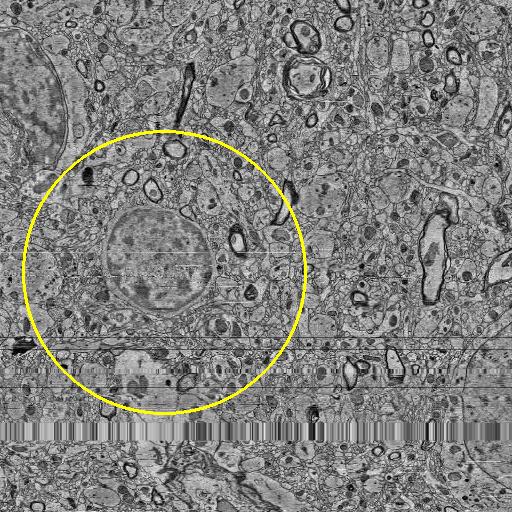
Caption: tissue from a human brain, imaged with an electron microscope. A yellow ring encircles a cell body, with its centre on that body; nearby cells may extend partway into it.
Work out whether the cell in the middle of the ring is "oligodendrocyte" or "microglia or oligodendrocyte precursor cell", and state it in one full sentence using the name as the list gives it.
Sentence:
In the picture, the cell that the yellow ring surrounds at its centre is an oligodendrocyte.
